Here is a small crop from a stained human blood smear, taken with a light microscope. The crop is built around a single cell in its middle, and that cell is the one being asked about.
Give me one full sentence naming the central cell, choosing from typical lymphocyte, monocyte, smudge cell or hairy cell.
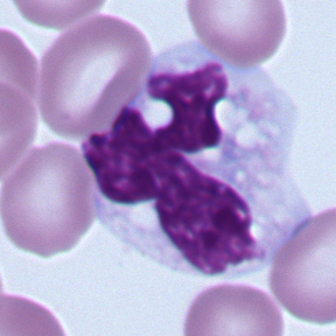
The centrally placed cell is classified as a monocyte.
